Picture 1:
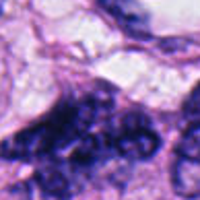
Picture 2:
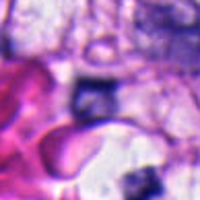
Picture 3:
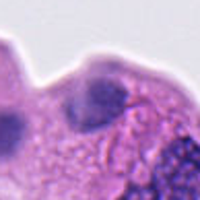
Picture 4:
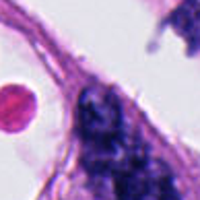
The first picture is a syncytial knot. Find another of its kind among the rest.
Picture 4.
